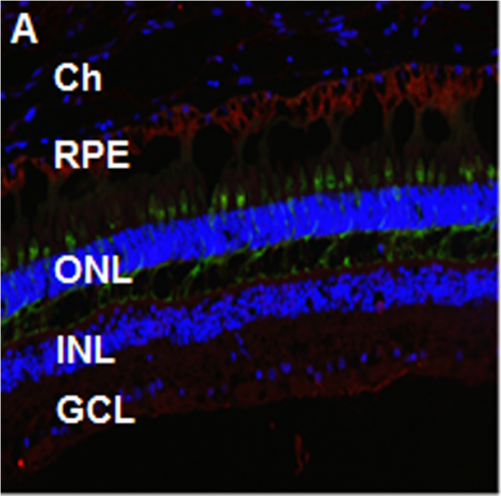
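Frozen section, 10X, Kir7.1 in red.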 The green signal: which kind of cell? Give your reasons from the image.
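Green elongated profiles lie between the pigmented epithelial layer and the outer band of blue nuclei. Thin green fibres run down through the outer band of nuclei. So: Cone photoreceptors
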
